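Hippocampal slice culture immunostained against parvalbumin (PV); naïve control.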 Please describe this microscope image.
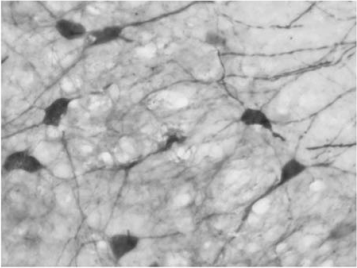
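About half a dozen cell bodies are visible, widely spaced and not arranged in a layer. The somata are compact, roughly triangular or polygonal, and evenly dark, so no nucleus can be seen within them. From each soma several thin processes extend, branching and running long distances across the field, some crossing those of neighbouring cells. Fine stained fibres form a loose network between the cells. The unstained surrounding tissue shows pale rounded outlines of other cell bodies.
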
